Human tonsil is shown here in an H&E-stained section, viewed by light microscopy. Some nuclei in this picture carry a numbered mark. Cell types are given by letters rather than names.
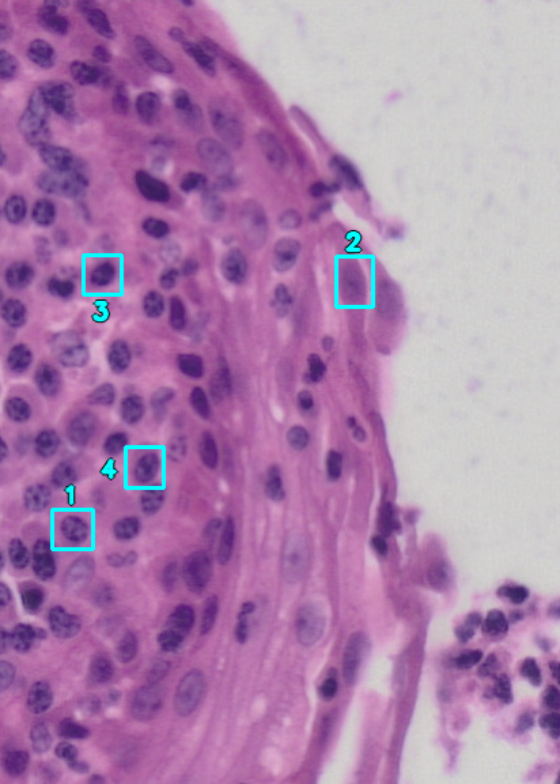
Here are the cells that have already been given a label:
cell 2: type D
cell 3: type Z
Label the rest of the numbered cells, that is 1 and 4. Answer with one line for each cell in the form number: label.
1: type Z
4: type Z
